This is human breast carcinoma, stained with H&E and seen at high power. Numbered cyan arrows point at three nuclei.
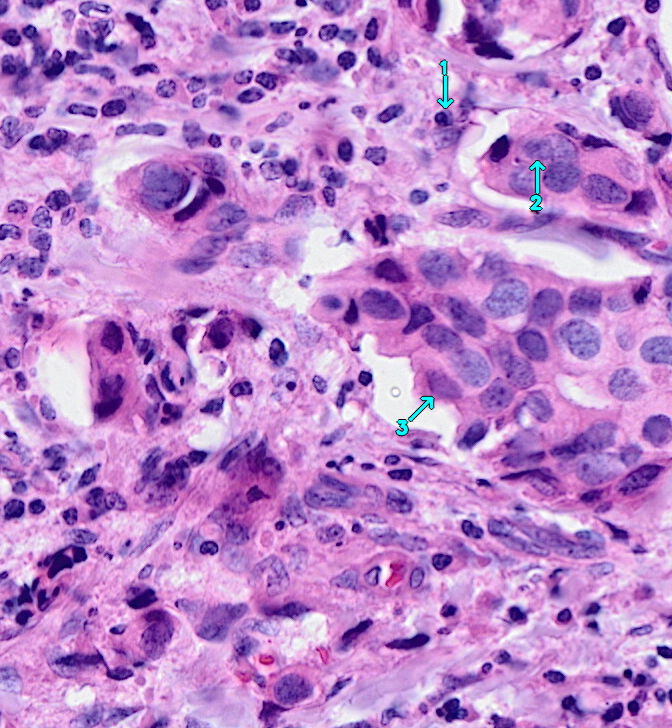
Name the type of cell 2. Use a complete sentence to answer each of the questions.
Cell 2 of the marked set is a carcinoma cell.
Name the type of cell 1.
Heads up, the cell numbered 1 is a lymphocyte.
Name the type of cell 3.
The cell referred to as 3 is a carcinoma cell.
